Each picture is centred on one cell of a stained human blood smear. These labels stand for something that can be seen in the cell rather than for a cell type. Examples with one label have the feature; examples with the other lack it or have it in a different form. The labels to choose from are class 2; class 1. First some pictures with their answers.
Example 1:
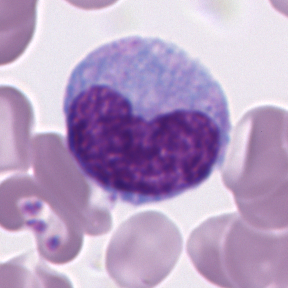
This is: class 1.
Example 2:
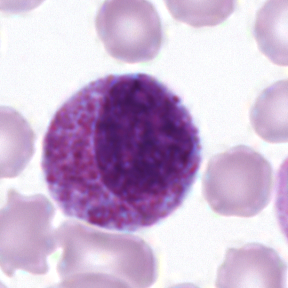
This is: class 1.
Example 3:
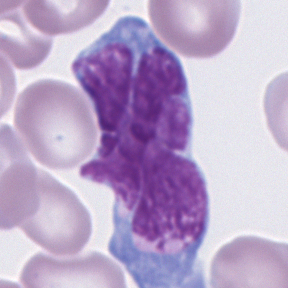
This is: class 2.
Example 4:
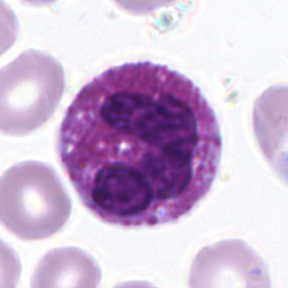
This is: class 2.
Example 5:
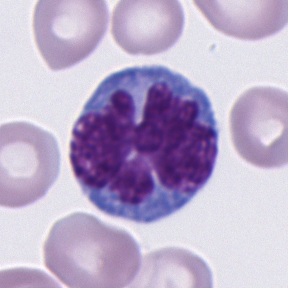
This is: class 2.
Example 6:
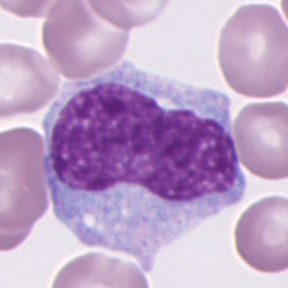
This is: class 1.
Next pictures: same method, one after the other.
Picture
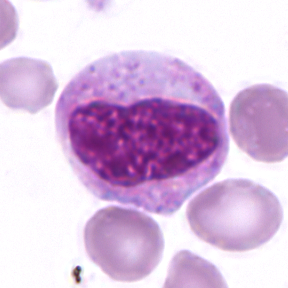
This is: class 1.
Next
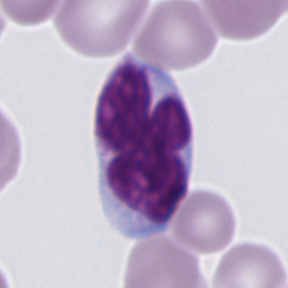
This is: class 2.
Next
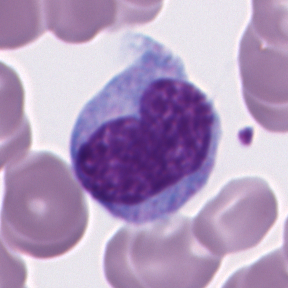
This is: class 1.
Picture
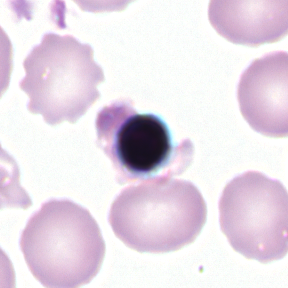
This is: class 1.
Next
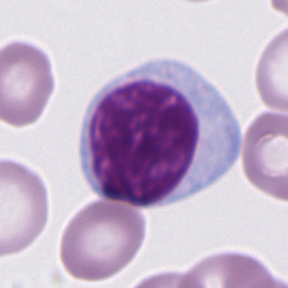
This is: class 1.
